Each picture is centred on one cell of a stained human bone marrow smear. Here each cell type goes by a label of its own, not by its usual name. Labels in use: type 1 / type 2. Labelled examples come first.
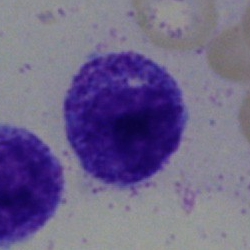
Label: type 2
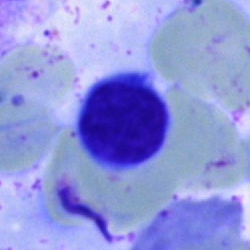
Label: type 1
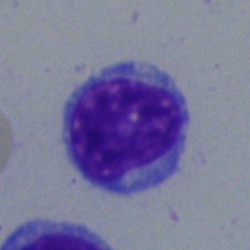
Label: type 1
